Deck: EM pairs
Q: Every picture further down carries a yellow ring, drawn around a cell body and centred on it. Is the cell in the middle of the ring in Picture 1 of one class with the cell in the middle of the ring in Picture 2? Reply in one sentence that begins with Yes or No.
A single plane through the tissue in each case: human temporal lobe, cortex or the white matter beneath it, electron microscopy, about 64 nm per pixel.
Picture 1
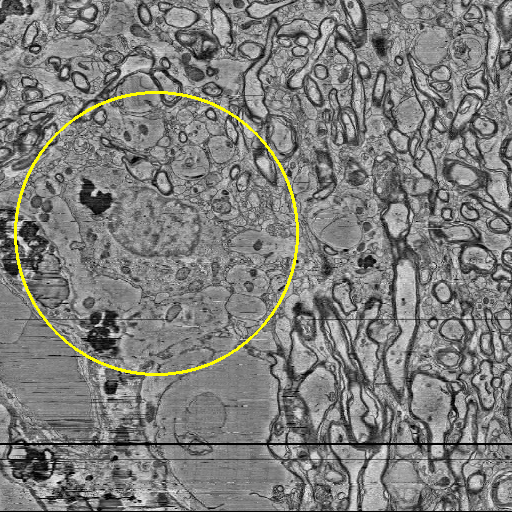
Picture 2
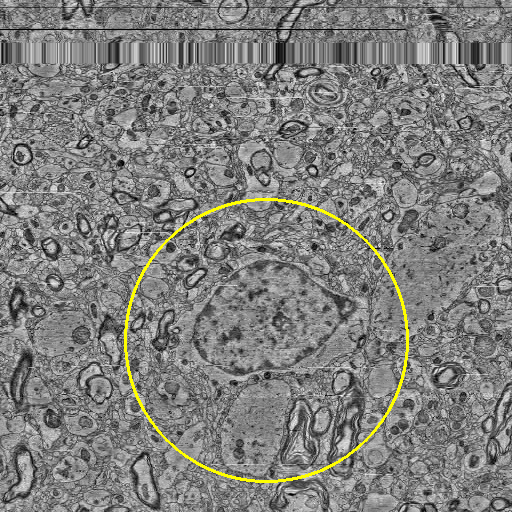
No, the cell centred in the ring of Picture 1 and the one in Picture 2 belong to separate classes.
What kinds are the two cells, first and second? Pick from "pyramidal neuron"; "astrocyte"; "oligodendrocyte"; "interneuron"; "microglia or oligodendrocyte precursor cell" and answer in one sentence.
The second picture holds a microglial cell or oligodendrocyte precursor cell in its ring, and the first holds an oligodendrocyte.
